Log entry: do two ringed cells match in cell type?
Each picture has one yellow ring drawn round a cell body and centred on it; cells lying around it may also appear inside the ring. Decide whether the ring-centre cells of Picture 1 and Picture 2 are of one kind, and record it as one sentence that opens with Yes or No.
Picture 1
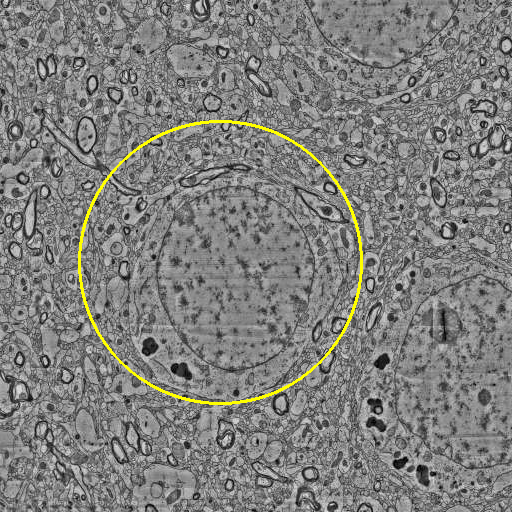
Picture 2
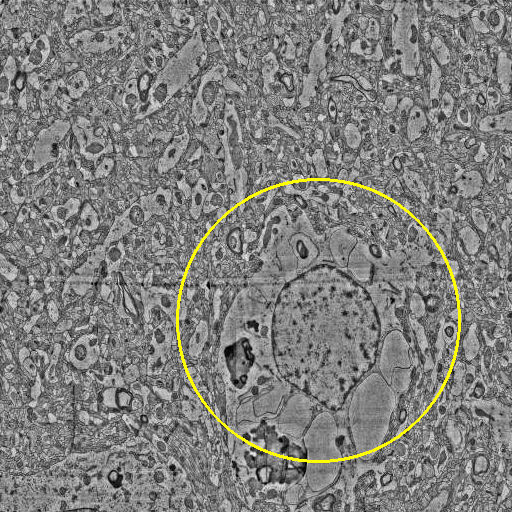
No, the cells at the ring centres of the two pictures belong to two kinds.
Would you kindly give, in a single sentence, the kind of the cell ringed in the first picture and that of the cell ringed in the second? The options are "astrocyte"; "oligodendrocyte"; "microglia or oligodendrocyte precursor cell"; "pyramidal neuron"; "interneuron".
The second cell is an astrocyte, and the first cell is a pyramidal neuron.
